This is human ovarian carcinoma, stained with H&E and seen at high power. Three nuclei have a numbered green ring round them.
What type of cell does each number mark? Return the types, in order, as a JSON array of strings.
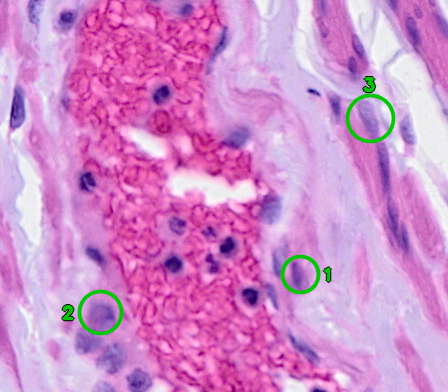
["smooth muscle cell", "endothelial cell", "smooth muscle cell"]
